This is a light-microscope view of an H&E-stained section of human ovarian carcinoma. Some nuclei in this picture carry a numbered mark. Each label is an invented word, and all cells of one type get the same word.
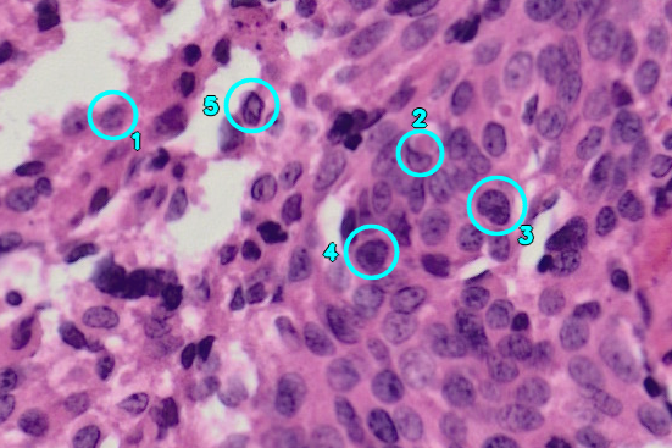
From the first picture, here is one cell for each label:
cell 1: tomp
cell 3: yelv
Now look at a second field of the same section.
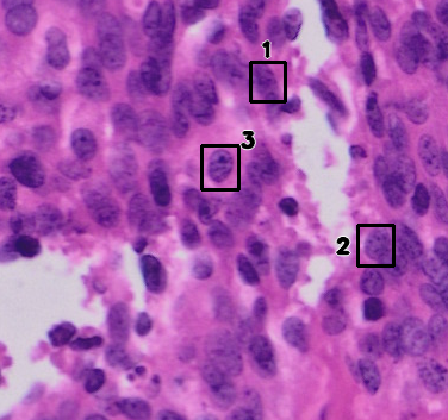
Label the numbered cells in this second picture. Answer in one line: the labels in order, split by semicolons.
yelv; yelv; tomp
